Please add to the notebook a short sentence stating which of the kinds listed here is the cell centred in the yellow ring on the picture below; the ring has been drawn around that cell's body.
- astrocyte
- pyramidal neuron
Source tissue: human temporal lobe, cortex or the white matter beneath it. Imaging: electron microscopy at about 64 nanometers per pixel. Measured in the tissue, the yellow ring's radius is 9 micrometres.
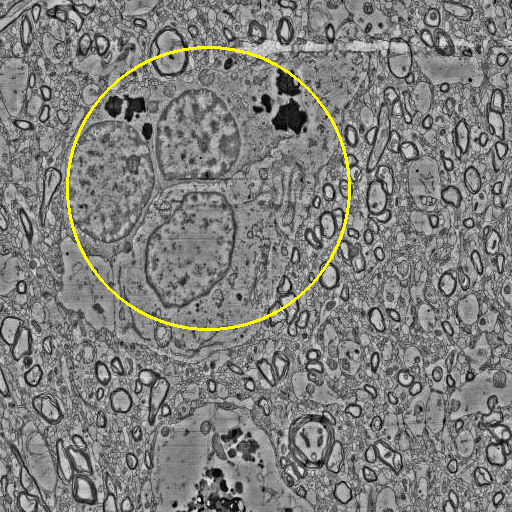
The cell centred in the yellow ring is a pyramidal neuron.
